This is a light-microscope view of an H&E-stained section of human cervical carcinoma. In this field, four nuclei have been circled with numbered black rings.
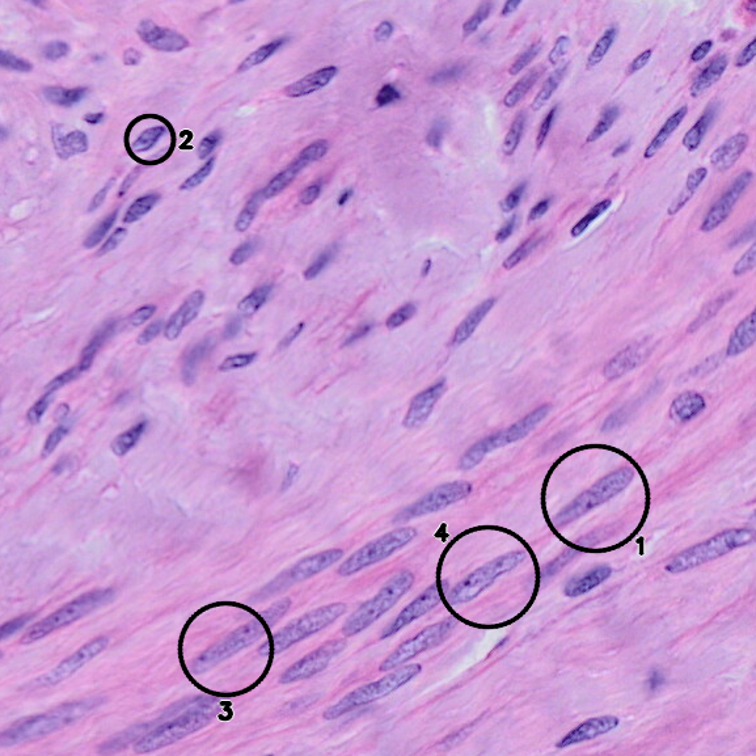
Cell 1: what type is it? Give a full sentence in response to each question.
The nucleus labeled 1 belongs to a smooth muscle cell.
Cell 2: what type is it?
Looking at the numbered marks, cell 2 is a fibroblast.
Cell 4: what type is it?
The cell given label 4 is a smooth muscle cell.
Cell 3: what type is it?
The nucleus with number 3 is that of a smooth muscle cell.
